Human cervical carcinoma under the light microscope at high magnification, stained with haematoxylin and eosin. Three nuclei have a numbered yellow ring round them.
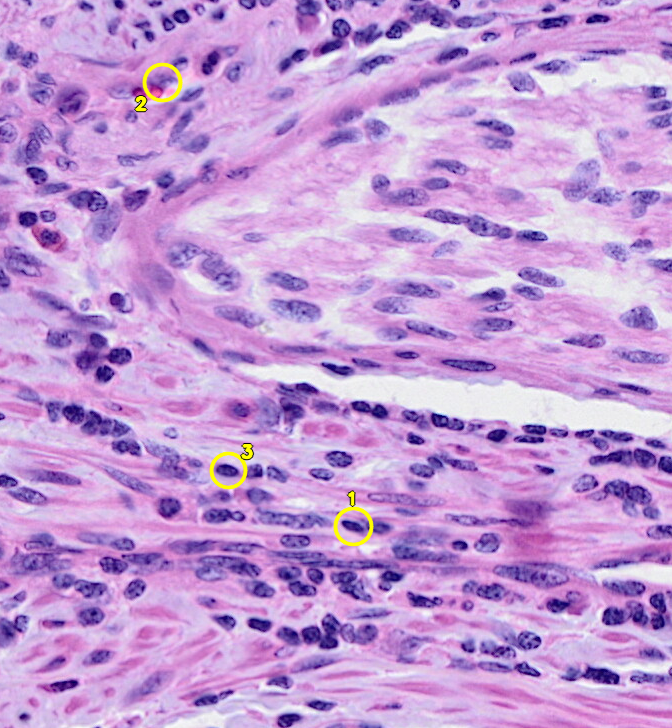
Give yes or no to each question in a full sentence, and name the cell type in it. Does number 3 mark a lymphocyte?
Yes, cell number 3 in this section is a lymphocyte.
